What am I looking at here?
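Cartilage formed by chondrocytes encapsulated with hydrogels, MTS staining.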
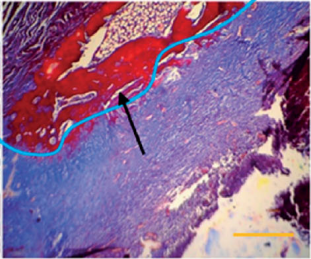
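Section with a band of red-staining tissue in the upper part, enclosing spaces filled with small round cells, lying against a broad mass of blue-staining fibrous tissue below. A drawn blue curve follows the boundary between the red and blue tissue, with an arrow pointing into the red band.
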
